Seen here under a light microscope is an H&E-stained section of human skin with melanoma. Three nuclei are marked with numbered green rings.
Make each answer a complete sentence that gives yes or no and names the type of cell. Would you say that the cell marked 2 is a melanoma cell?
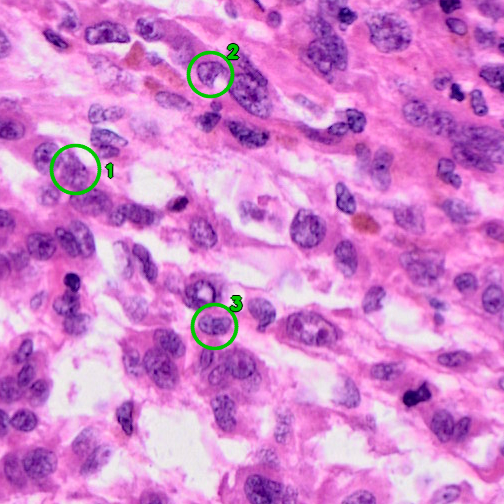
Yes, number 2 corresponds to a melanoma cell.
